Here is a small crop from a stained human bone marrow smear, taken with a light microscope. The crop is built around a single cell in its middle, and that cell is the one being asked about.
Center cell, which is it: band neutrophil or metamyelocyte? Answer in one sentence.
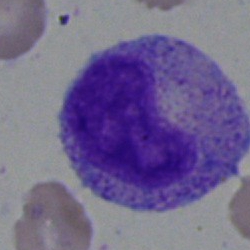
The cell under consideration, at the middle of the crop, is a metamyelocyte.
